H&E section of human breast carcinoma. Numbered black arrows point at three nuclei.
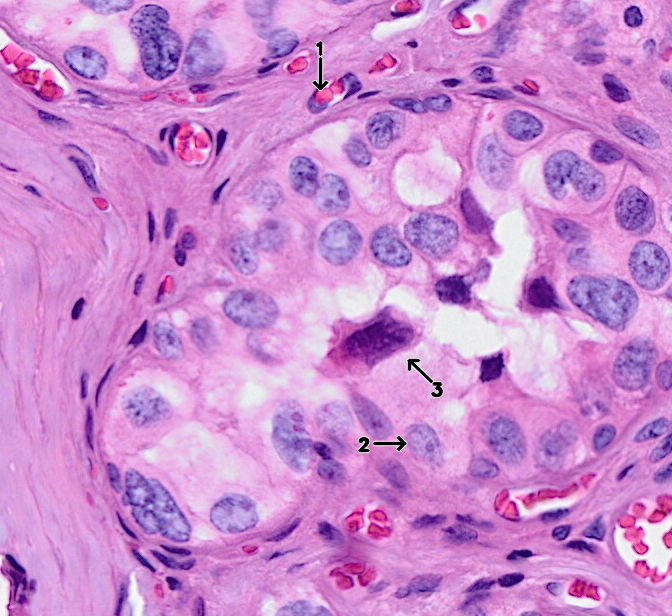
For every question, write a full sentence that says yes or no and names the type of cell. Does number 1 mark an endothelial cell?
Yes, the cell with the number 1 is an endothelial cell.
